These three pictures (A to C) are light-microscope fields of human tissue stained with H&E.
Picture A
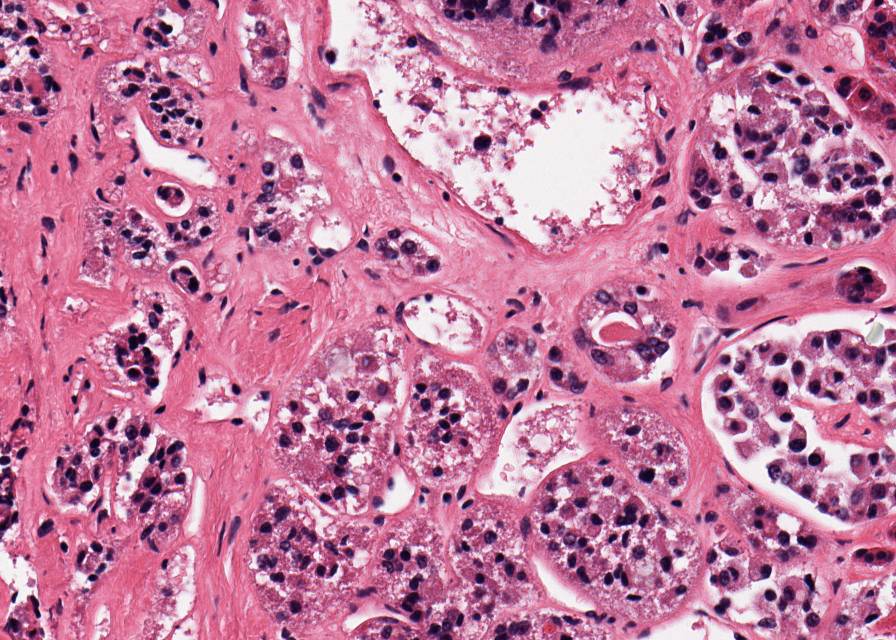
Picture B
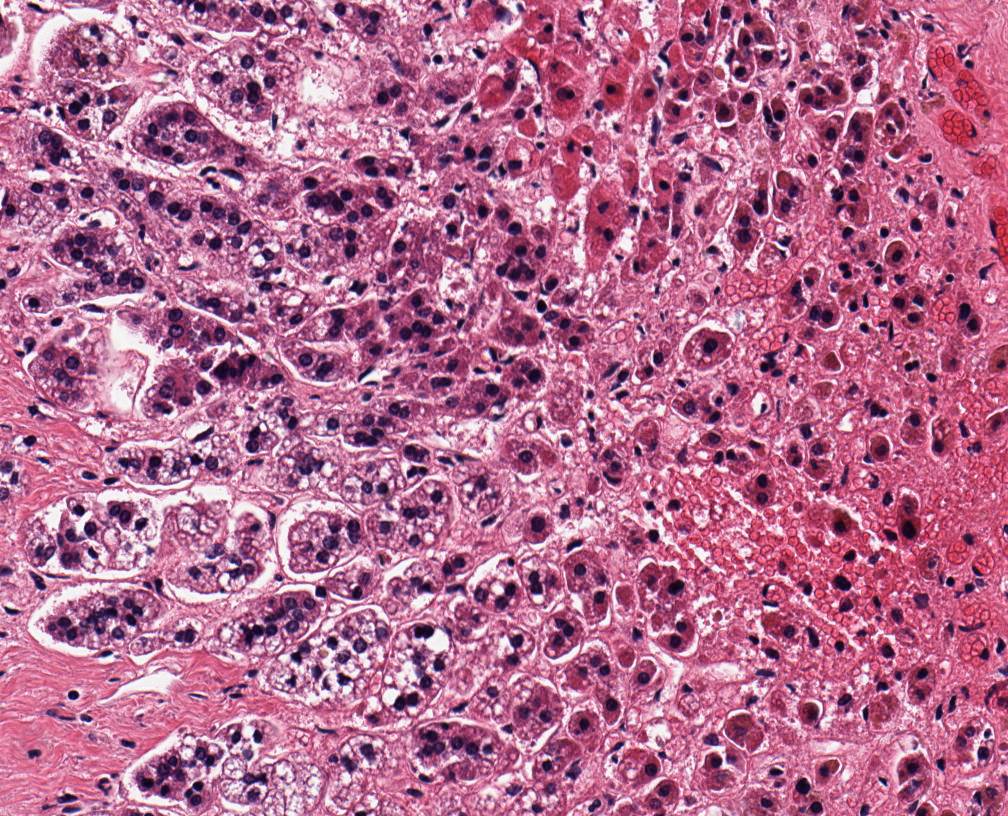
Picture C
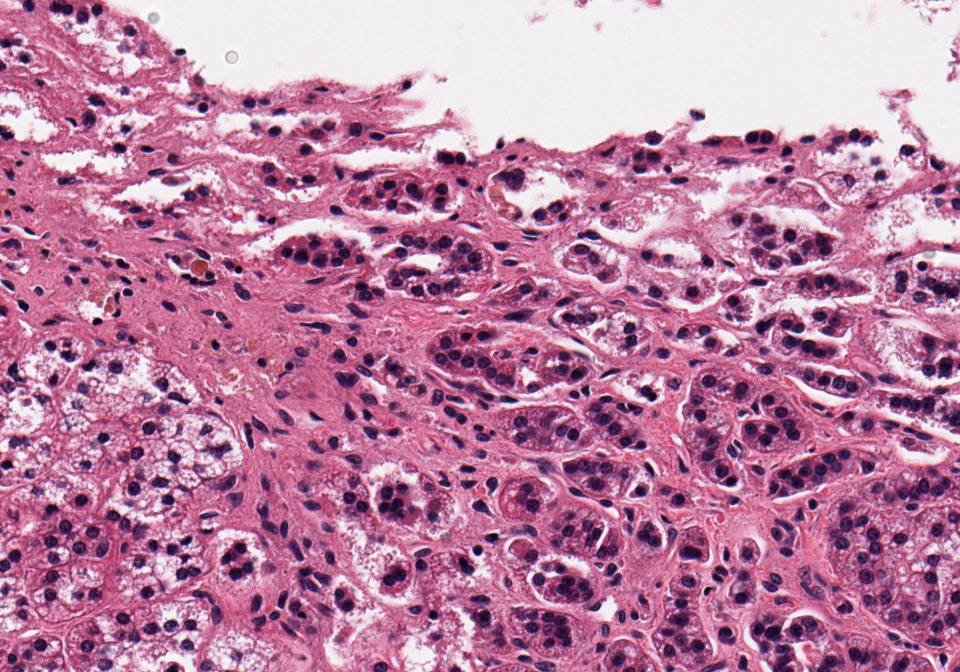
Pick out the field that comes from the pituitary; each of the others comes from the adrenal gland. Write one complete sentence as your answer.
Picture A is the field that comes from the pituitary.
